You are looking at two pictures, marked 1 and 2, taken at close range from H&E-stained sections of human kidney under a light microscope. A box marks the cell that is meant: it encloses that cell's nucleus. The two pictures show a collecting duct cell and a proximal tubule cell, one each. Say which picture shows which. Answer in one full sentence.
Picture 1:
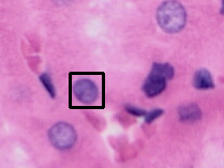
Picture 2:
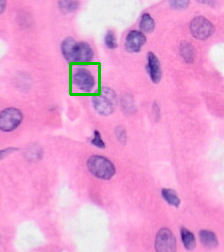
Picture 1 shows a proximal tubule cell and picture 2 shows a collecting duct cell.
